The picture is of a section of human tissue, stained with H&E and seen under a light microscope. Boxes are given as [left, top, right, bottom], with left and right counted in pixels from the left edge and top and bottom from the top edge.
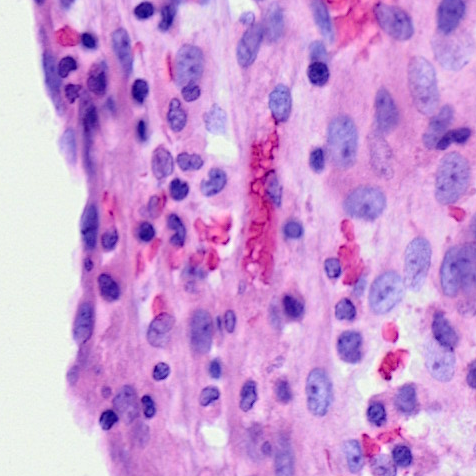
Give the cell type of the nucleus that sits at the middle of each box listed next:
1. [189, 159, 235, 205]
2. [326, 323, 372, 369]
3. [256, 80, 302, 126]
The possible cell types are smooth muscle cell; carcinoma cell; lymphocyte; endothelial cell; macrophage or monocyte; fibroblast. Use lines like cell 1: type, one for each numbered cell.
cell 1: macrophage or monocyte
cell 2: macrophage or monocyte
cell 3: endothelial cell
